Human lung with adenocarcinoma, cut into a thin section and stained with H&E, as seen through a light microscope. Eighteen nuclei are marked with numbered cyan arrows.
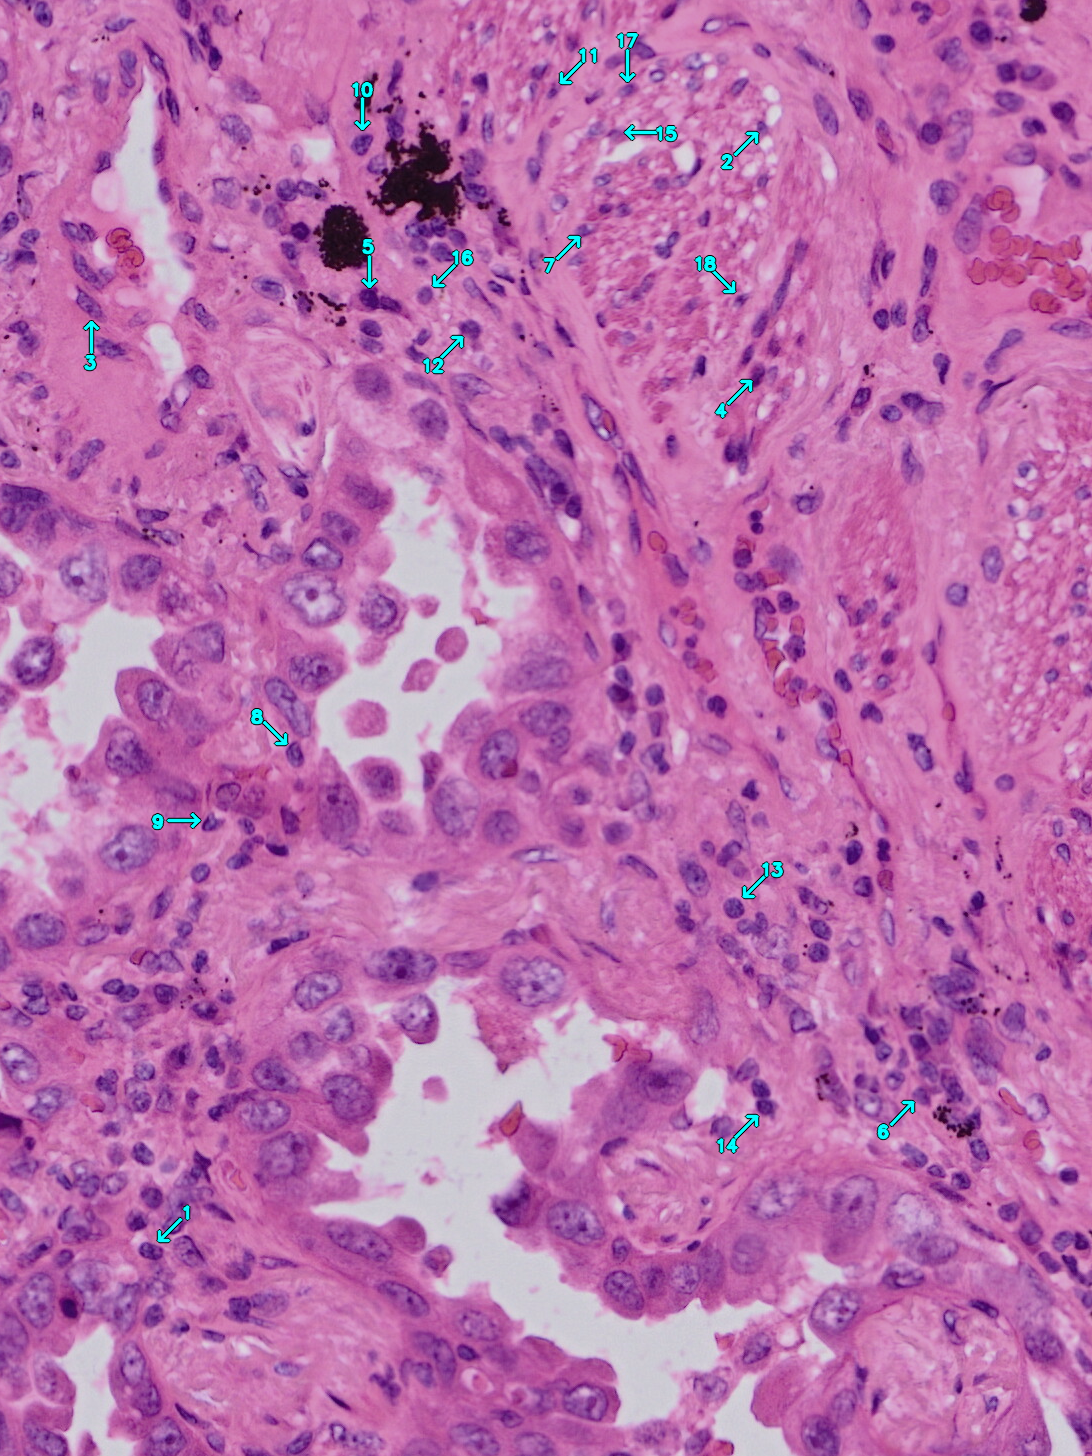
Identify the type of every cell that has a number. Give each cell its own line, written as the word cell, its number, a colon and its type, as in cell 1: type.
cell 1: lymphocyte
cell 2: smooth muscle cell or pericyte
cell 3: smooth muscle cell or pericyte
cell 4: smooth muscle cell or pericyte
cell 5: plasma cell
cell 6: plasma cell
cell 7: smooth muscle cell or pericyte
cell 8: lymphocyte
cell 9: lymphocyte
cell 10: mast cell
cell 11: smooth muscle cell or pericyte
cell 12: plasma cell
cell 13: lymphocyte
cell 14: lymphocyte
cell 15: smooth muscle cell or pericyte
cell 16: lymphocyte
cell 17: smooth muscle cell or pericyte
cell 18: smooth muscle cell or pericyte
